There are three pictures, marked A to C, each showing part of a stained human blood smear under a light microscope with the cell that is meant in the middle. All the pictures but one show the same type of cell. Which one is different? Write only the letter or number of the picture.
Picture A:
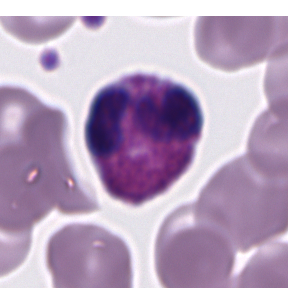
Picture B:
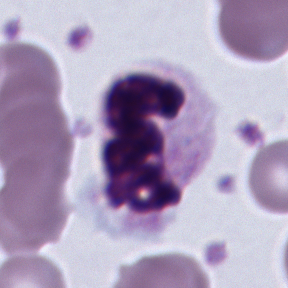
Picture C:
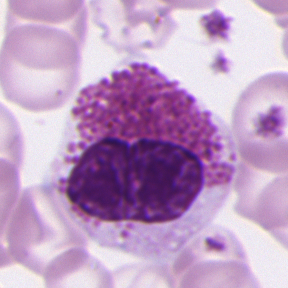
B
